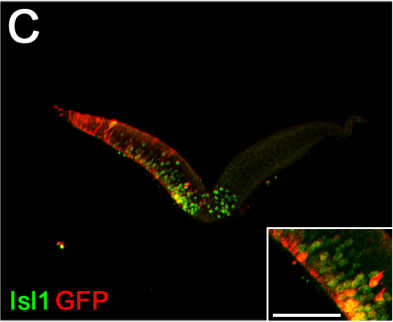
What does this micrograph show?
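A transverse section of the hindbrain neural tube opens as a thin V-shaped wall, with the midline at the bottom of the V. Red fluorescence fills the wall of one side only, while the other side stays dark. Many round green nuclei cluster in the ventral part of the red side, near the midline and toward the outer surface of the wall. In the inset at high power, green nuclei sit inside red cell bodies, and many appear yellow where the two colours overlap.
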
